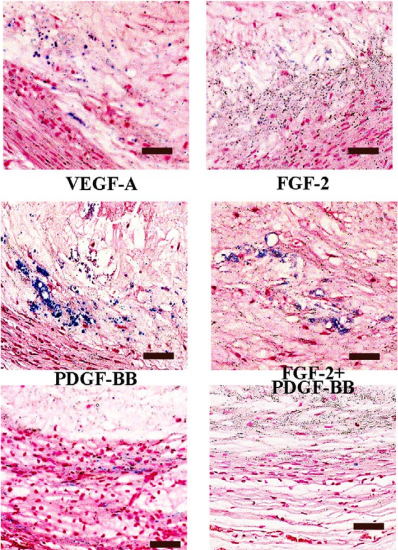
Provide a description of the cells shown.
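The densest blue clusters lie within paler, looser matrix. Elsewhere the tissue forms layered, wavy pink bands with elongated nuclei.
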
